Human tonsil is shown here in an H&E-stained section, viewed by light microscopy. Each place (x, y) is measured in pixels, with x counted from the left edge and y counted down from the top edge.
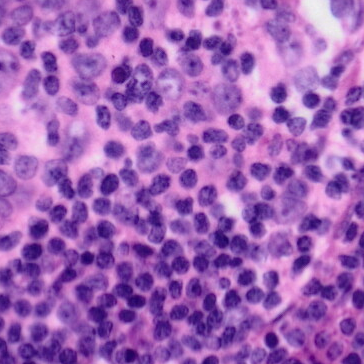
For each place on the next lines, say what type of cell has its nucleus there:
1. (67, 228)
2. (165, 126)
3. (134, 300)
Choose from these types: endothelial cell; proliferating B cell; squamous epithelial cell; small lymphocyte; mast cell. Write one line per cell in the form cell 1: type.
cell 1: small lymphocyte
cell 2: proliferating B cell
cell 3: small lymphocyte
